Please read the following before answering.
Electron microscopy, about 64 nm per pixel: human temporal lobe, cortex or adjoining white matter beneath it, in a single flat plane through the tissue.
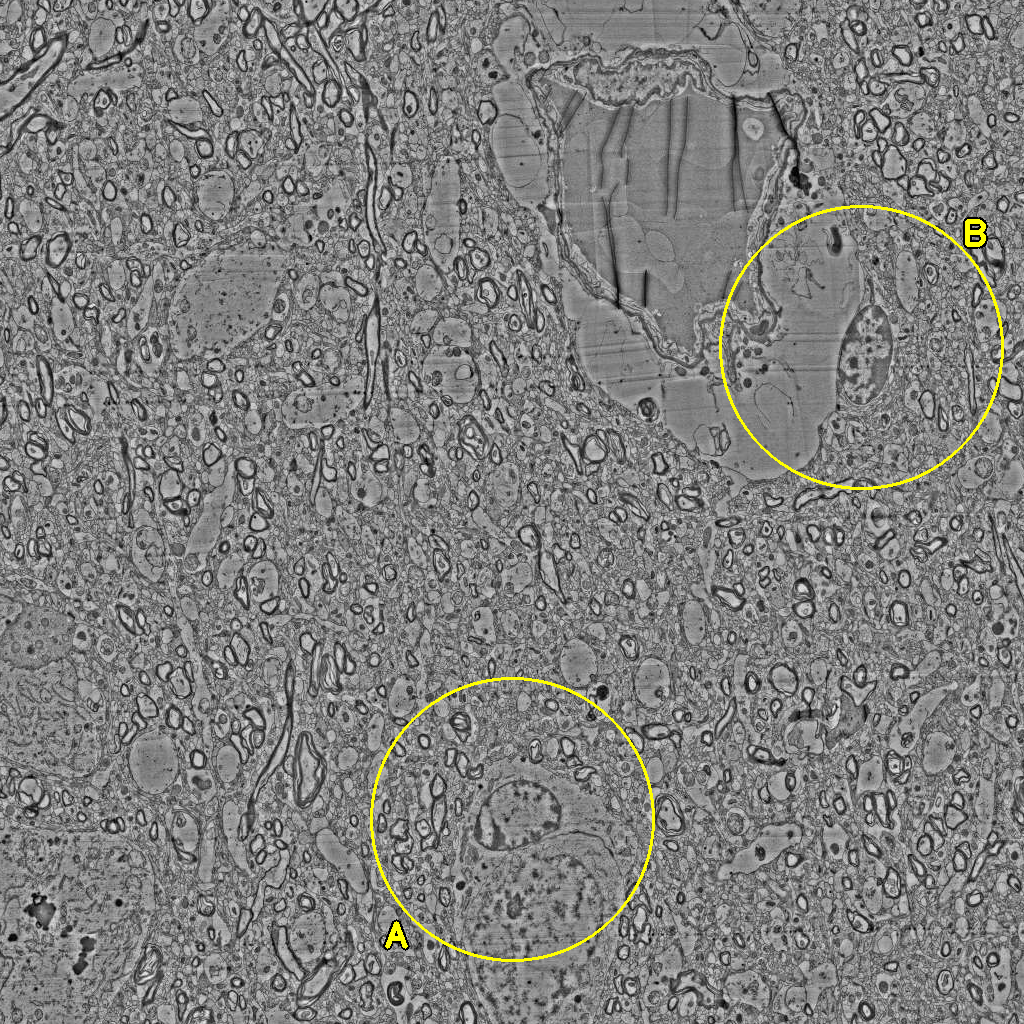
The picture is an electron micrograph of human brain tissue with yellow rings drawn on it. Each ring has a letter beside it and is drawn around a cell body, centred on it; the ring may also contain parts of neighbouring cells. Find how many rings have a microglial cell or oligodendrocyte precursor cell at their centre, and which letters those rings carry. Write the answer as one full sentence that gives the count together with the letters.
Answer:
In the micrograph, two rings with the letters A and B are each centred on a microglial cell or oligodendrocyte precursor cell.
